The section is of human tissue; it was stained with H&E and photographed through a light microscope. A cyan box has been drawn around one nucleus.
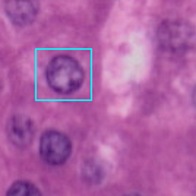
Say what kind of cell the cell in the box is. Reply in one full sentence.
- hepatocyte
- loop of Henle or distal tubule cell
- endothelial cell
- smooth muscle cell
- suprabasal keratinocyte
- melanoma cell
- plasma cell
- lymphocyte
The cell in the box appears to be a hepatocyte.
